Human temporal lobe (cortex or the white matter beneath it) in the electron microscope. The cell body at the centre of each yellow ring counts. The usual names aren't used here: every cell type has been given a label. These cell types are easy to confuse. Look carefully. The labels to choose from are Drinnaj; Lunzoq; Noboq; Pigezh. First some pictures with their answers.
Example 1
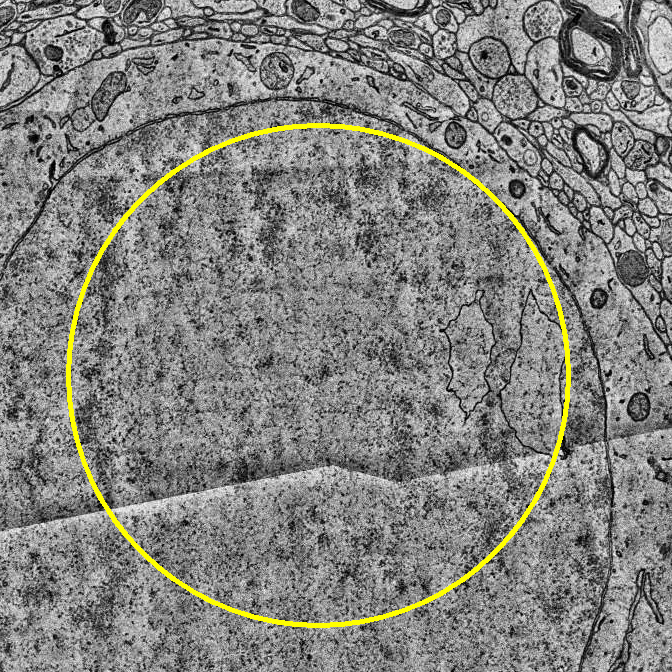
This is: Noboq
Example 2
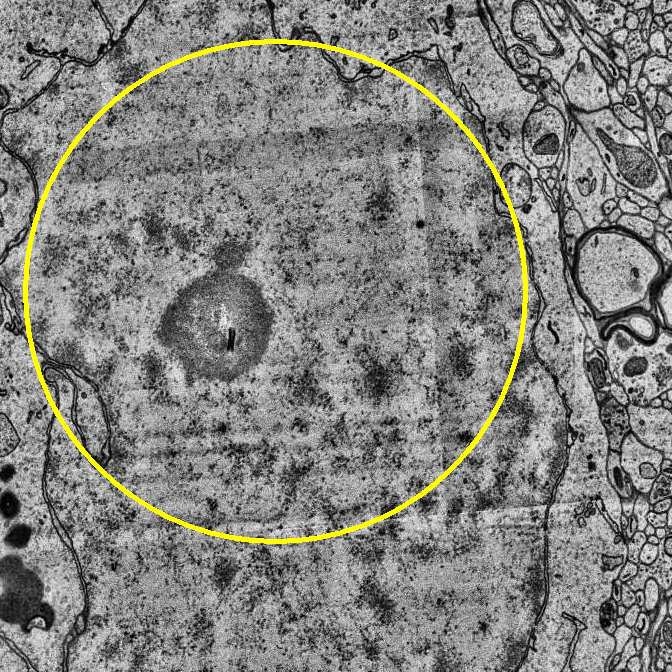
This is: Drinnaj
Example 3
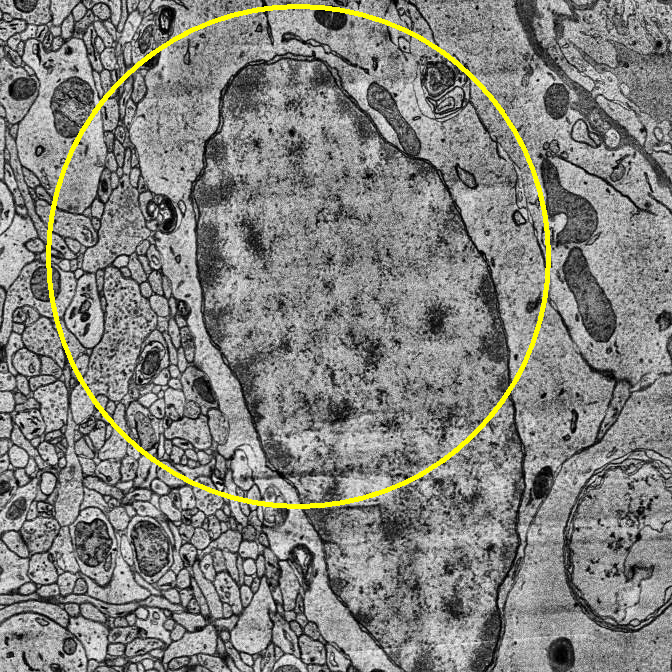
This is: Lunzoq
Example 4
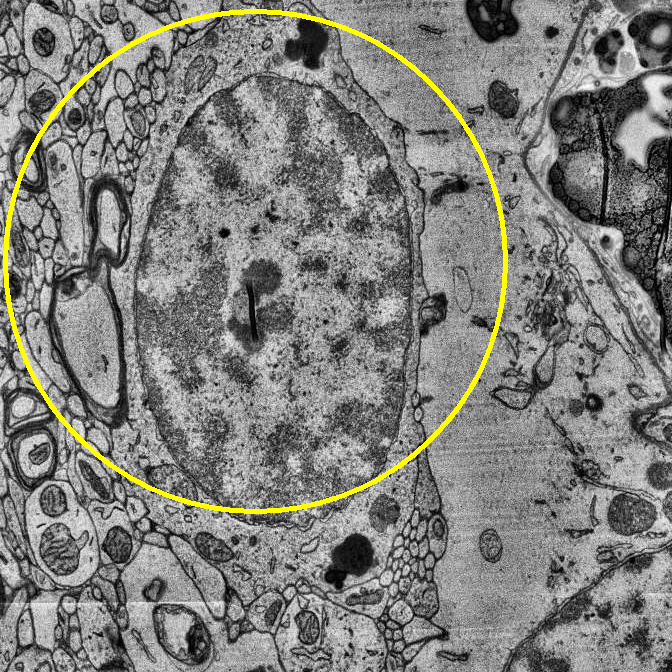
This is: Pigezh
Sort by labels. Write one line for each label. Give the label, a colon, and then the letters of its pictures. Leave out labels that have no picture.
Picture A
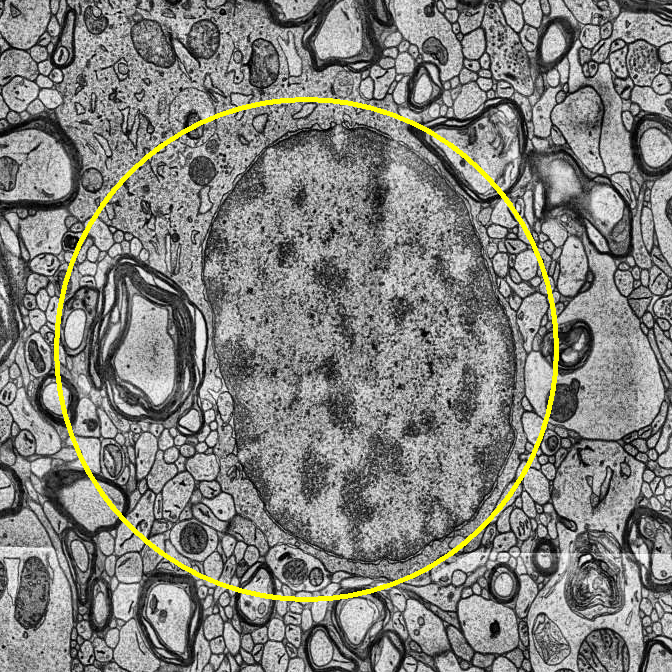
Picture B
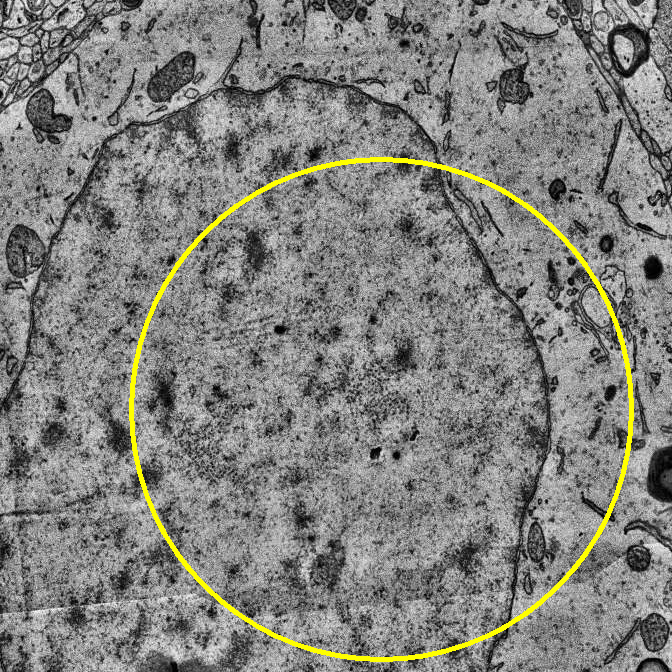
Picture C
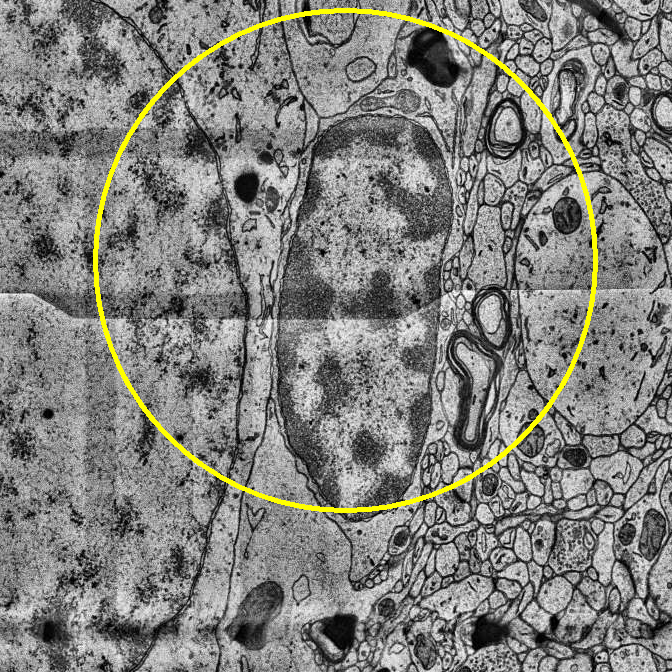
Lunzoq: C
Noboq: B
Pigezh: A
